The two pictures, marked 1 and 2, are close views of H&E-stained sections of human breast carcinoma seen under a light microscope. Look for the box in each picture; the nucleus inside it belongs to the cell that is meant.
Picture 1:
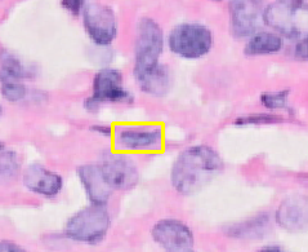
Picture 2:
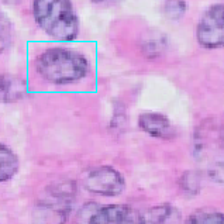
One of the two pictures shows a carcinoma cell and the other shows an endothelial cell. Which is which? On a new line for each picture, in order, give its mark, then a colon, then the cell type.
1: endothelial cell
2: carcinoma cell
